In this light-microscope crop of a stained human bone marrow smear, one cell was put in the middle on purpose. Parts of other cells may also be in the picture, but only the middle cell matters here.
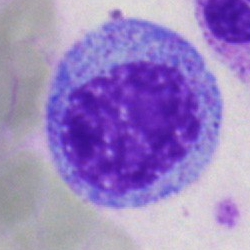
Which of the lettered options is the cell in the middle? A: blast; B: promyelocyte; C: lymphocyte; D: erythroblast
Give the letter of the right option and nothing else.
B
